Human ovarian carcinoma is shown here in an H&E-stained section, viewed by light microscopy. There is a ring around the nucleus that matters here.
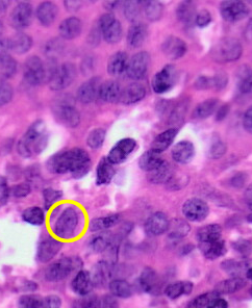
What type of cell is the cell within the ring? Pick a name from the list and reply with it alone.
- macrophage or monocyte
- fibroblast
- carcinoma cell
carcinoma cell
